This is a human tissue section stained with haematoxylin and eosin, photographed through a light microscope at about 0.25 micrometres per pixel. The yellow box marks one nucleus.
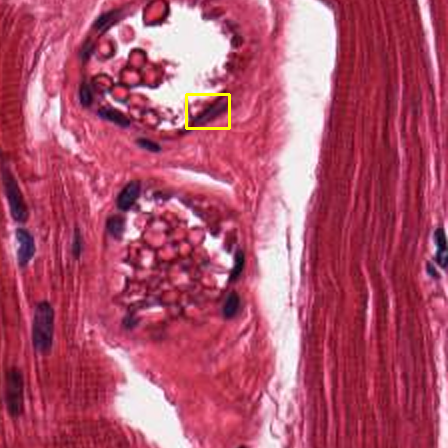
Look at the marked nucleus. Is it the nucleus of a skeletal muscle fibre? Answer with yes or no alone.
no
